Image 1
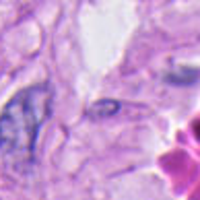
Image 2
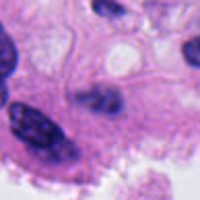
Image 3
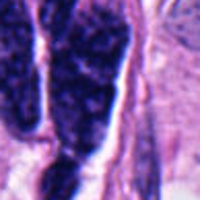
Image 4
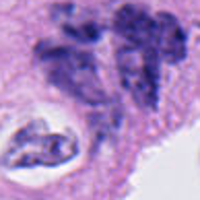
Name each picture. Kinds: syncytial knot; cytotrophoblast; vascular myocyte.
(1) vascular myocyte
(2) cytotrophoblast
(3) syncytial knot
(4) cytotrophoblast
